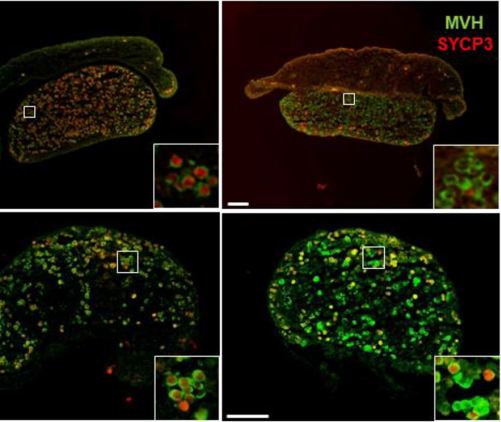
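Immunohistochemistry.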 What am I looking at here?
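In the boxed enlargements, each germ cell shows a green cytoplasmic ring around a central nucleus, and in many of them the nucleus carries red signal. The sections differ: in some, most green cells have red nuclei and look yellow-orange, while in others many green cells have nuclei without any red. The surrounding somatic tissue stays dark or faintly red.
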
